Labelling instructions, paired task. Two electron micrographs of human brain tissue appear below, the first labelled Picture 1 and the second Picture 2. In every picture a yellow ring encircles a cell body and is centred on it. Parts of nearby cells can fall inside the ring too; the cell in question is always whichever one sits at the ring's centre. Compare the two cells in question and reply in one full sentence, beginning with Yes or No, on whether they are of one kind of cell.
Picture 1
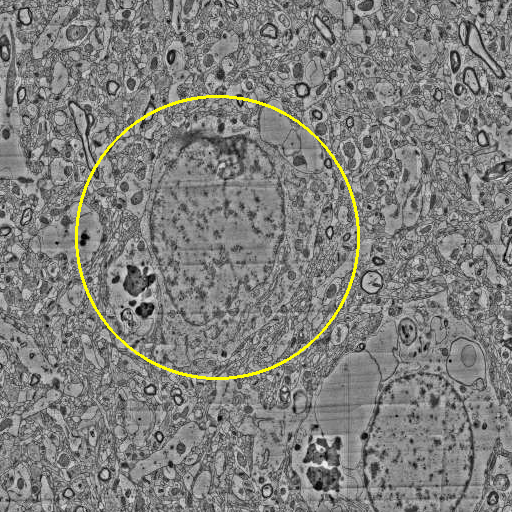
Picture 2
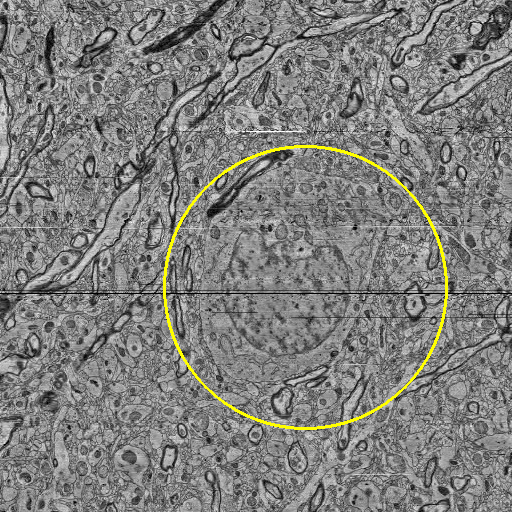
Yes, the two cells at the ring centres in Picture 1 and Picture 2 are of one kind.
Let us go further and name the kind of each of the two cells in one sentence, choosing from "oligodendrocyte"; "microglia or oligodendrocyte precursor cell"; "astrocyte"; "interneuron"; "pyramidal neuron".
The first and the second cell are each an interneuron.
